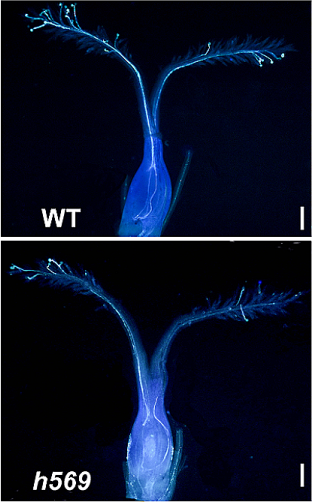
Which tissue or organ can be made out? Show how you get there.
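A swollen base carries two styles. Each style ends in a feathery, branched stigma.
Hence: pistils.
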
